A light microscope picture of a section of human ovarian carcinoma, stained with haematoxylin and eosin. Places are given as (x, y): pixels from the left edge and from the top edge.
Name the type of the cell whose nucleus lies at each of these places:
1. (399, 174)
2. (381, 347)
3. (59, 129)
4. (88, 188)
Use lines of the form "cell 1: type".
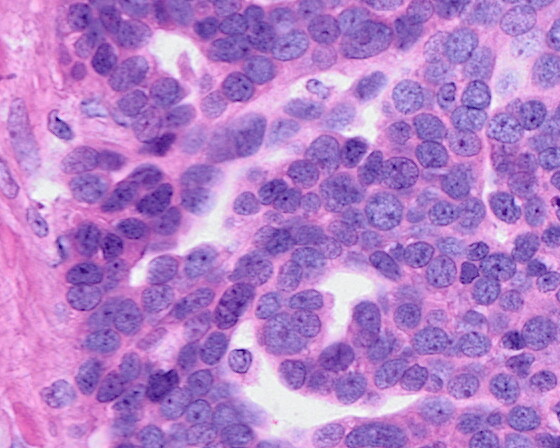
cell 1: carcinoma cell
cell 2: carcinoma cell
cell 3: macrophage or monocyte
cell 4: carcinoma cell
